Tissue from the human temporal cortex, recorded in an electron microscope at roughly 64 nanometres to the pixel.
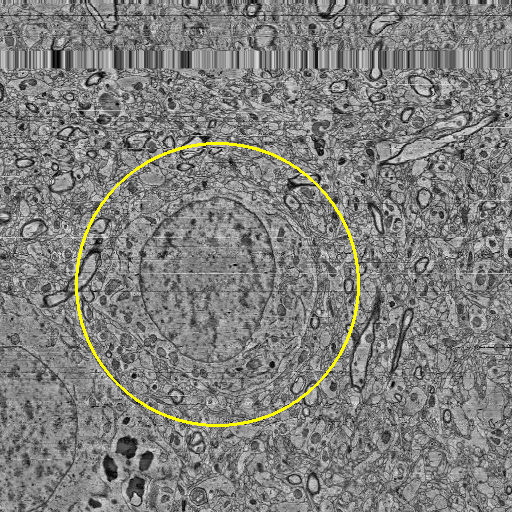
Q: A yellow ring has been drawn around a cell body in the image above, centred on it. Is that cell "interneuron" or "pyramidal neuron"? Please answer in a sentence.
The ring surrounds the cell body of an interneuron.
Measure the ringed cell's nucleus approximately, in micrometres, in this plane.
The nucleus appears roughly 11 by 9 micrometres in this plane.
